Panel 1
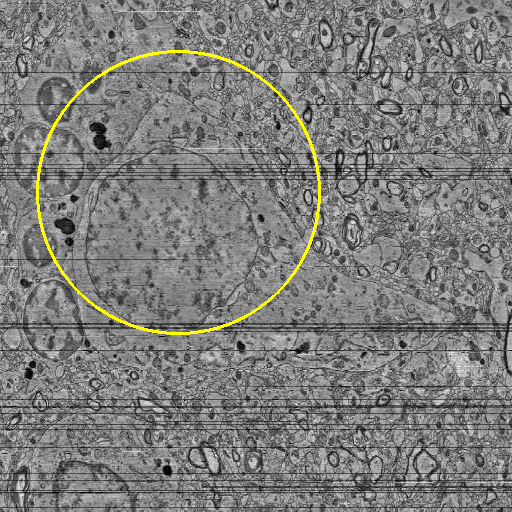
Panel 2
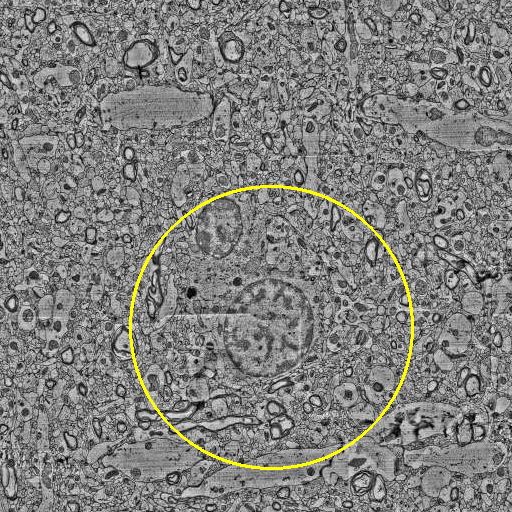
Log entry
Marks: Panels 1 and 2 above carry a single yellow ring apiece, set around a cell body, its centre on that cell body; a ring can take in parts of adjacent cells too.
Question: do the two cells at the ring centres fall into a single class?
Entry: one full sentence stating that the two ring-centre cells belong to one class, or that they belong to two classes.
The two ring-centre cells in Panels 1 and 2 belong to two classes.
